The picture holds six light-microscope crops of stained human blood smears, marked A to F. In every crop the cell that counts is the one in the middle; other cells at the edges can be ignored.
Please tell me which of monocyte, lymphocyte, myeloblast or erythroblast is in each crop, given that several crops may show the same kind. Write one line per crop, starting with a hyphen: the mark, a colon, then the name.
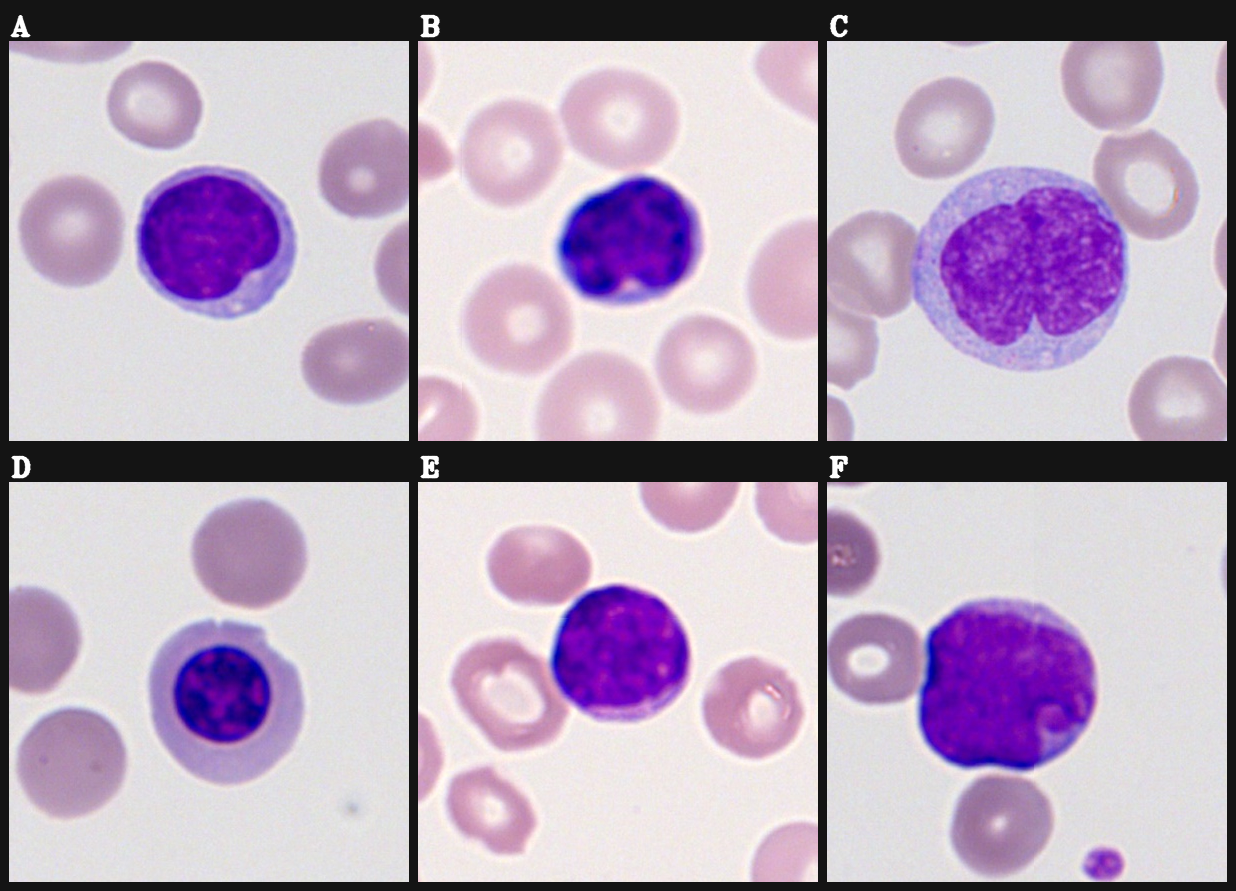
- A: lymphocyte
- B: lymphocyte
- C: monocyte
- D: erythroblast
- E: lymphocyte
- F: myeloblast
